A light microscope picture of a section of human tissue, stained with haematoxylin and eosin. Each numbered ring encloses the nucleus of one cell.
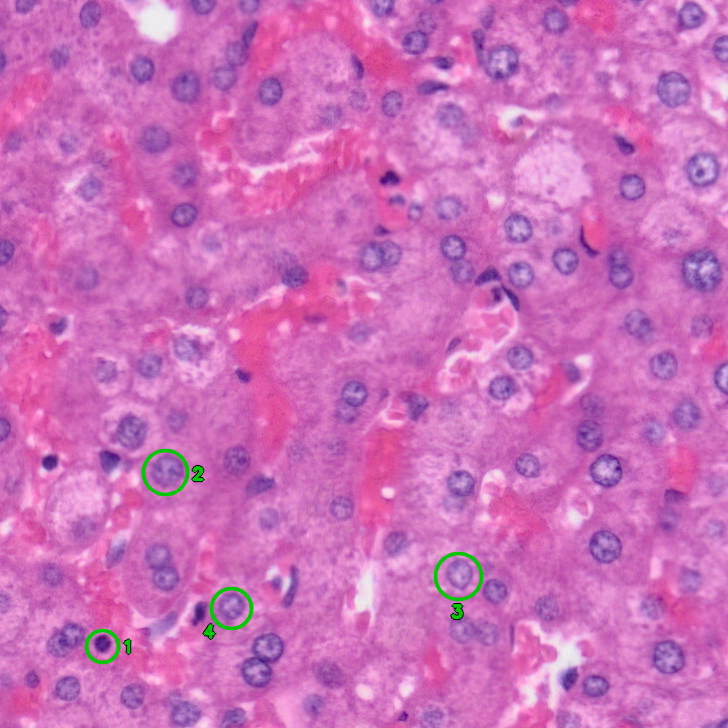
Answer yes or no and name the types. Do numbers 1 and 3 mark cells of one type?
No, cell 1 is a lymphocyte, while cell 3 is a hepatocyte.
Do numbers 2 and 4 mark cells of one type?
Yes, that is correct, cells 2 and 4 are both hepatocytes.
